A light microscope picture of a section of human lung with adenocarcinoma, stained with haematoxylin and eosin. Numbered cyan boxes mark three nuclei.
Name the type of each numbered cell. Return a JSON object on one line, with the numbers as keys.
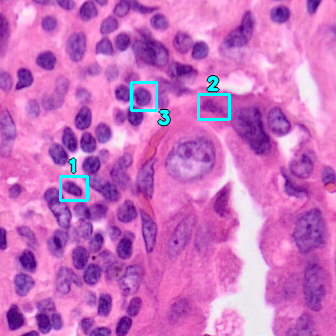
{"1": "lymphocyte", "2": "carcinoma cell", "3": "lymphocyte"}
